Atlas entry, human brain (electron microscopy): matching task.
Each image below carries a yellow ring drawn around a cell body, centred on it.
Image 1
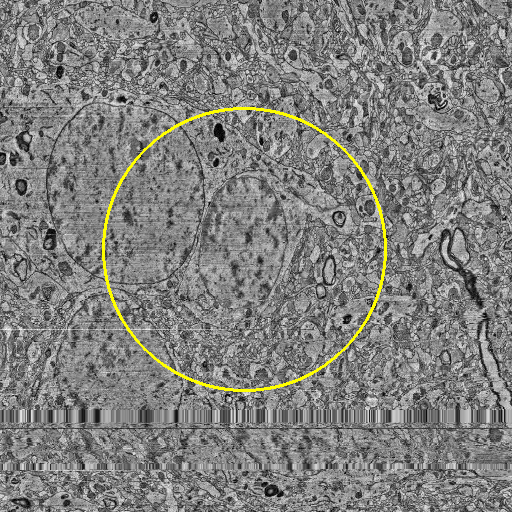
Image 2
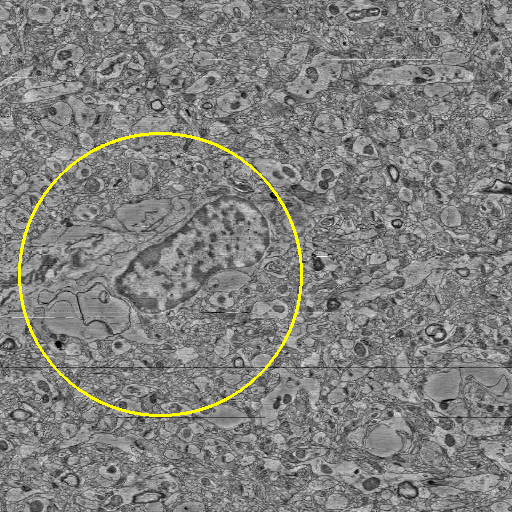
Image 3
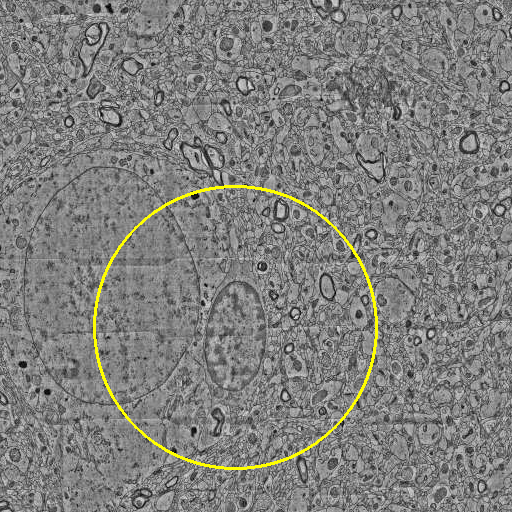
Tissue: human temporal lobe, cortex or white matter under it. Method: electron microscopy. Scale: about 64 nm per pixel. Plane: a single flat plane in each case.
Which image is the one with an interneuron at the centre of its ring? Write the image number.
1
